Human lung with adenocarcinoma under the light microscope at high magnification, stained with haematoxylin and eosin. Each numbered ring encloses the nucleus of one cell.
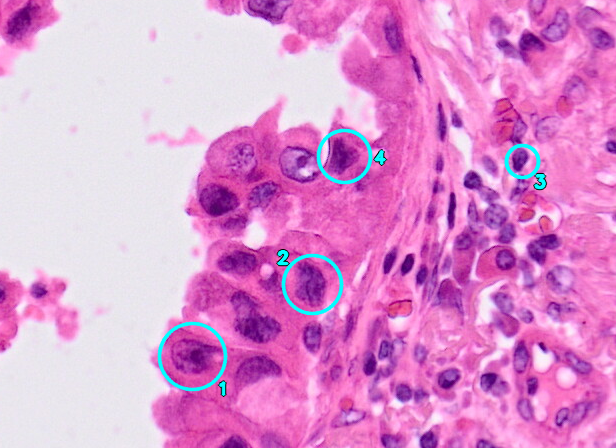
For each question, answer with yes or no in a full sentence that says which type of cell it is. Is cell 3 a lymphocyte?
Yes, the cell with the mark numbered 3 is a lymphocyte.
